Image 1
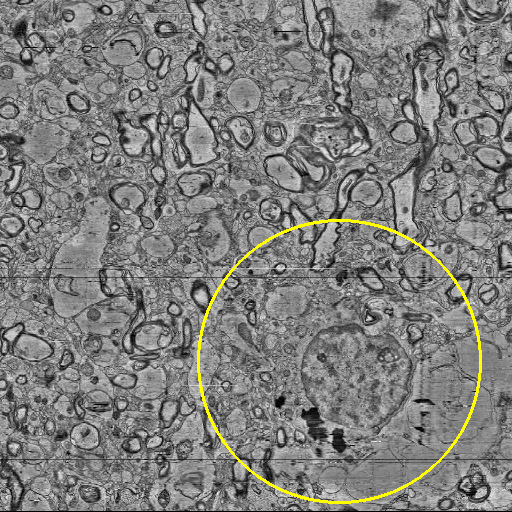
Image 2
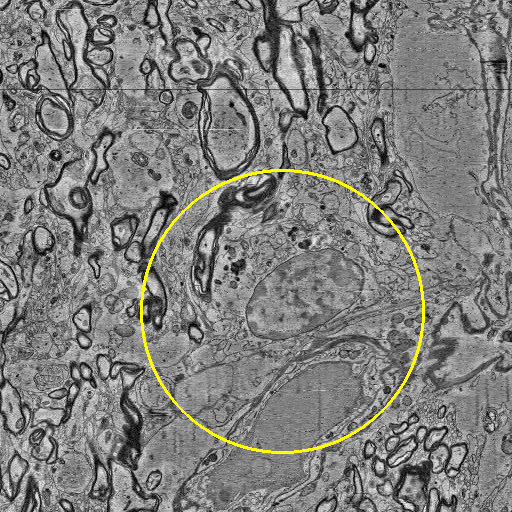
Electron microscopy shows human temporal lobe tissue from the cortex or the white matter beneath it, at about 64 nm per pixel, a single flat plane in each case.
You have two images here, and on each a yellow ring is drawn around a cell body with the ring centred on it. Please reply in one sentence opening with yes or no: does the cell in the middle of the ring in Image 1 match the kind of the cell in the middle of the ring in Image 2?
No, the two images show cells of two kinds at the centres of their rings.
